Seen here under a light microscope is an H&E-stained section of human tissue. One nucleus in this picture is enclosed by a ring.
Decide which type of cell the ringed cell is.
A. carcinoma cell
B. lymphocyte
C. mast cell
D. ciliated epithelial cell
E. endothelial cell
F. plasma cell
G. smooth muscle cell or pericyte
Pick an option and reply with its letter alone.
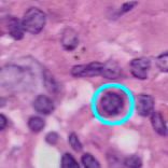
F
